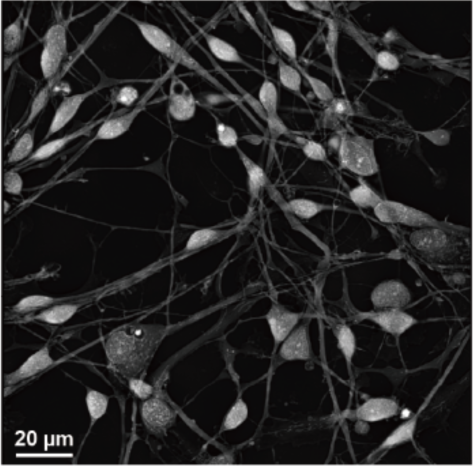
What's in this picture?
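Neurons in culture appear as bright, mostly oval to spindle-shaped cell bodies on a dark background. Long, thin processes leave the cell bodies and run across the field, crossing one another to form a dense network. Some cell bodies contain small, brighter granules or spots, and a few rounder cells show a brighter rim or bright inclusions.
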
